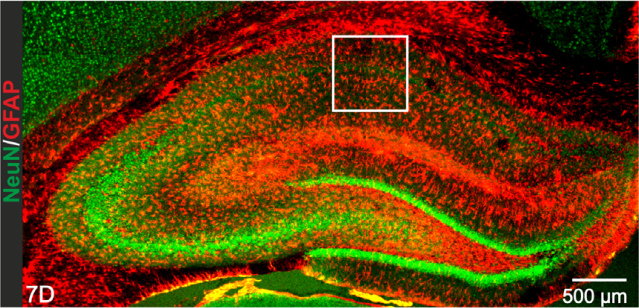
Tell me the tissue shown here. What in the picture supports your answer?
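Hippocampus. A curved band of densely packed neuronal cell bodies forms a C-shaped layer. A second, V-shaped dense cell layer lies nested within the curve.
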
